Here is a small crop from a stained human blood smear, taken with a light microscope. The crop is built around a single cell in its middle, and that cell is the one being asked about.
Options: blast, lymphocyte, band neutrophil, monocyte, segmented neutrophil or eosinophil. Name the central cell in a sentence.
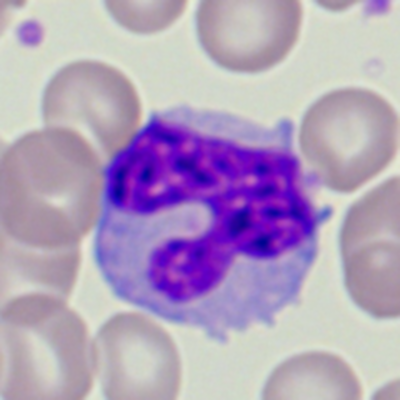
Here the cell in the middle is a monocyte.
